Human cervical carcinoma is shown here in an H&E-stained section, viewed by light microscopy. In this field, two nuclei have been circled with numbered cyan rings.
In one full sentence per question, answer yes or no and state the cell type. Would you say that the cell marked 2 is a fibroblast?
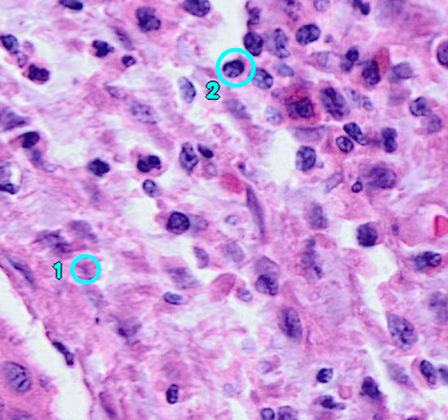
No, the cell indicated by 2 is a lymphocyte instead of a fibroblast.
